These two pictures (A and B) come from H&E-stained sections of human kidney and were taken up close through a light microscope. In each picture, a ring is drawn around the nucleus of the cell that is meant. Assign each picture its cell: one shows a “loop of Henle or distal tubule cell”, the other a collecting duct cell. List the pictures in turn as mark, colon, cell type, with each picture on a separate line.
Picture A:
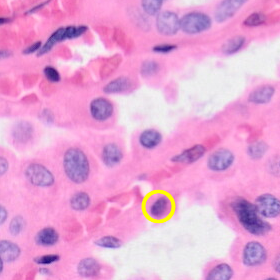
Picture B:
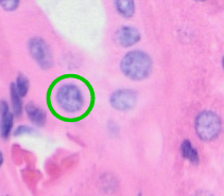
A: loop of Henle or distal tubule cell
B: collecting duct cell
